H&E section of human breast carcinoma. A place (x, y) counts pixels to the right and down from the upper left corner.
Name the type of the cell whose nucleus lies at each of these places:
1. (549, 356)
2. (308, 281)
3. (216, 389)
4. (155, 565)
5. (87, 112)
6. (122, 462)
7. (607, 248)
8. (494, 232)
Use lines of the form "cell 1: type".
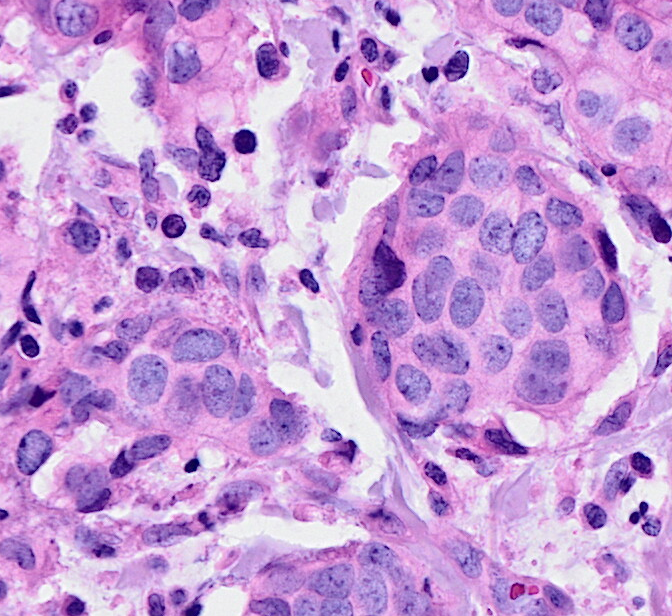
cell 1: carcinoma cell
cell 2: lymphocyte
cell 3: carcinoma cell
cell 4: macrophage, monocyte or dendritic cell
cell 5: lymphocyte
cell 6: carcinoma cell
cell 7: carcinoma cell
cell 8: carcinoma cell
